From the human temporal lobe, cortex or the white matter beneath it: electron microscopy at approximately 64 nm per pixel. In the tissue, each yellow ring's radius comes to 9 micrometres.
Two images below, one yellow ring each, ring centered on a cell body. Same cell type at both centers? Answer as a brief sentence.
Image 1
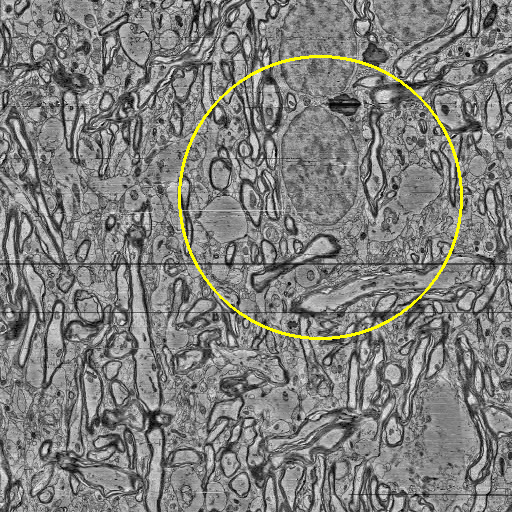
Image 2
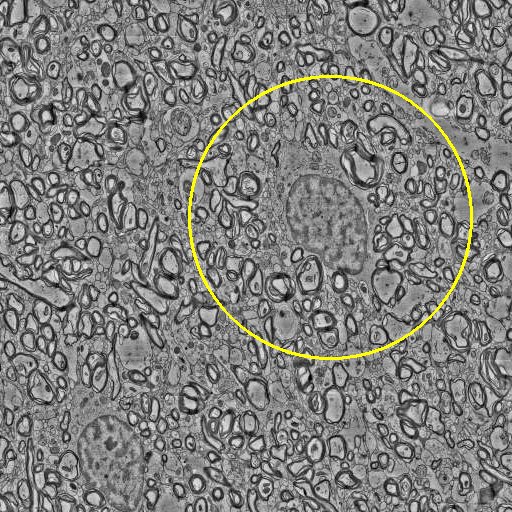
Yes, both cells are of the same type.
